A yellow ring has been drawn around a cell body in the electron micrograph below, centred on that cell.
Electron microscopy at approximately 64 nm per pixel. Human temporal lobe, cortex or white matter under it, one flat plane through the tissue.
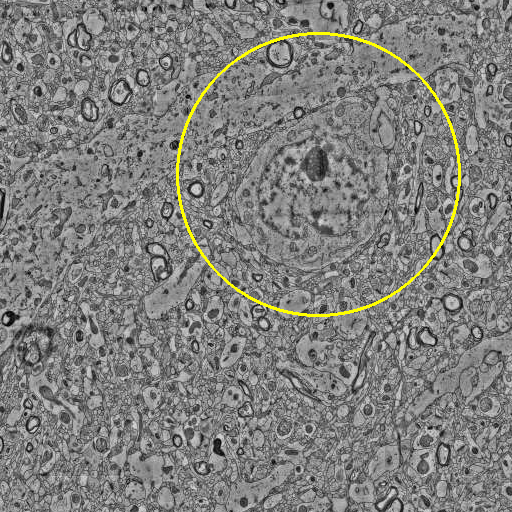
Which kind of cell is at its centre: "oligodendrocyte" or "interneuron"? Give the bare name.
interneuron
